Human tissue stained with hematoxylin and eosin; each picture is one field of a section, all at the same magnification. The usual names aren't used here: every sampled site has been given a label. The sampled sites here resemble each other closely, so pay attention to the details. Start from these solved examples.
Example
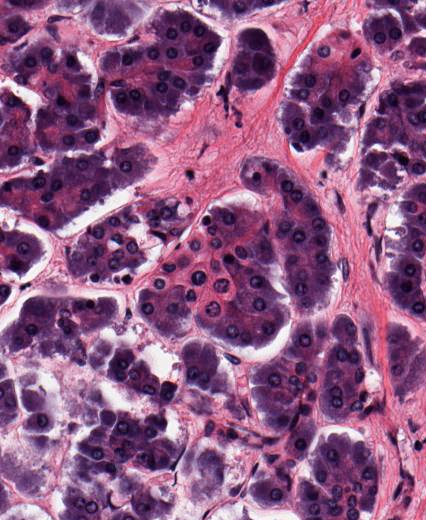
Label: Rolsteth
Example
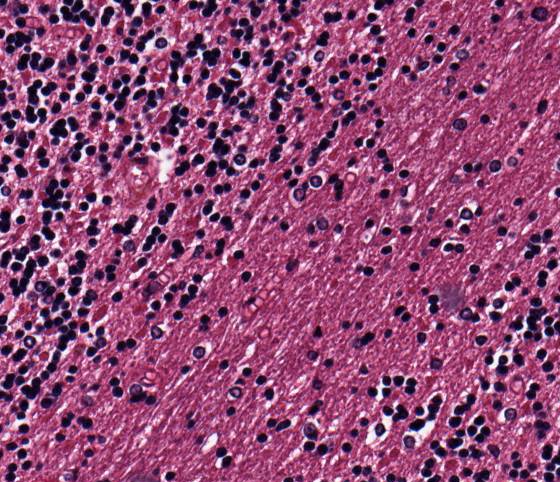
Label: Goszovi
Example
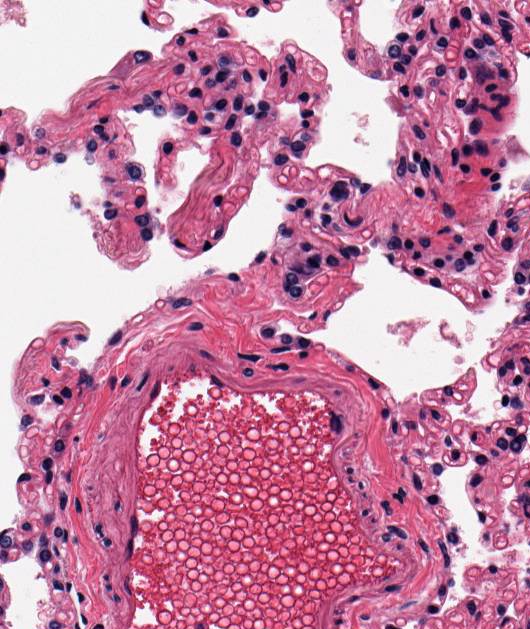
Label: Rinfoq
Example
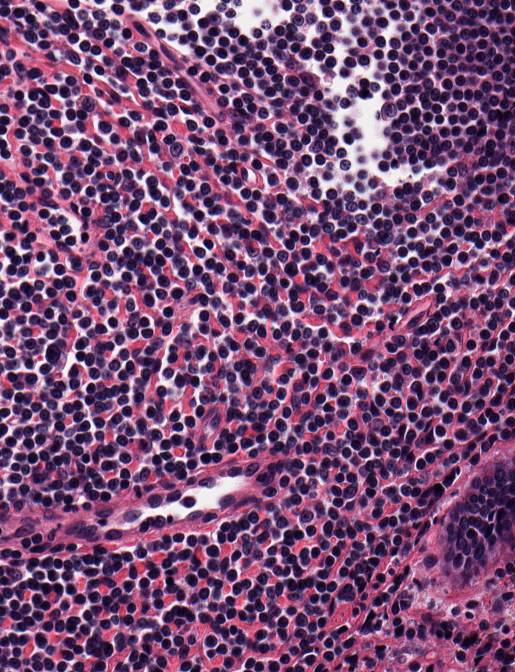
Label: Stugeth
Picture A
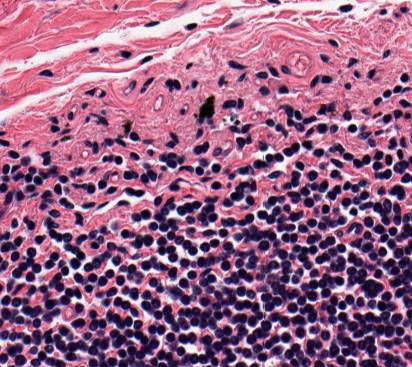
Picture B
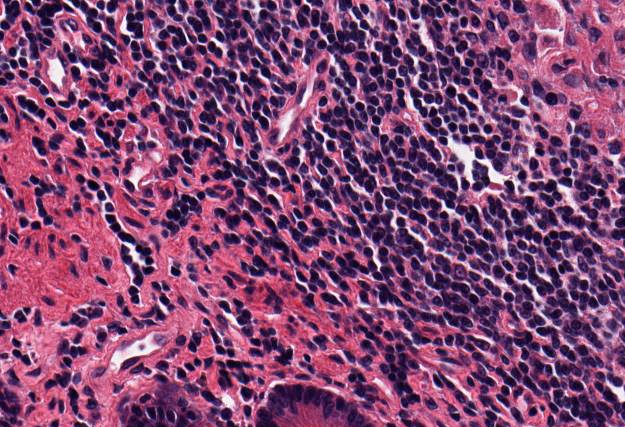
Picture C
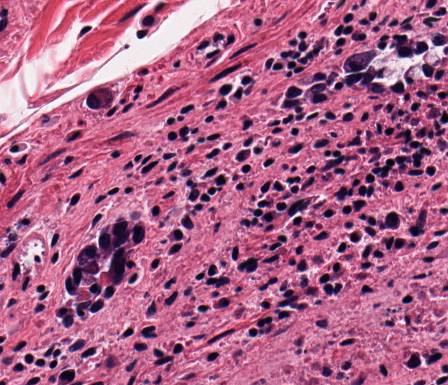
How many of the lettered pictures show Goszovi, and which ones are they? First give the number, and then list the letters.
0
